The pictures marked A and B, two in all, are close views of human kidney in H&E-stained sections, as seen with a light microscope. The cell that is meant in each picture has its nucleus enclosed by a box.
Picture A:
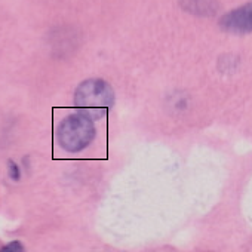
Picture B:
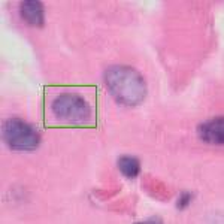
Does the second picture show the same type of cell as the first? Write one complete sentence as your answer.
No. Picture A shows a proximal tubule cell, but picture B shows a “loop of Henle or distal tubule cell”.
